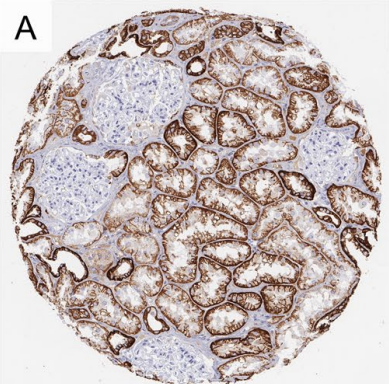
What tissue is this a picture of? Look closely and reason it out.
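Kidney. Round glomeruli with capillary tufts lie among densely packed tubules. Tubules are lined by cuboidal epithelium.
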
